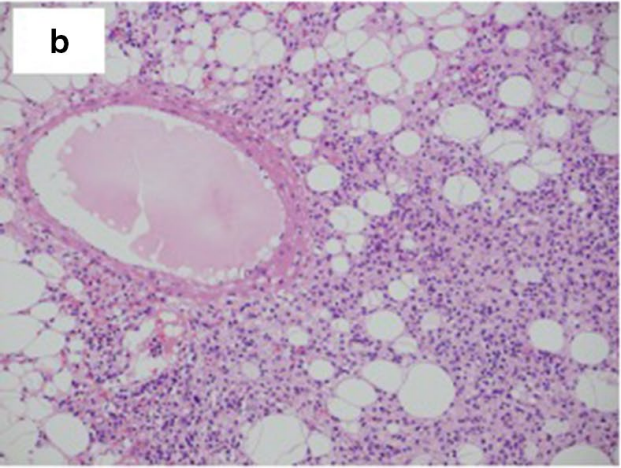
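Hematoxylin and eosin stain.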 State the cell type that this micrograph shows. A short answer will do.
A: mature adipocyte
